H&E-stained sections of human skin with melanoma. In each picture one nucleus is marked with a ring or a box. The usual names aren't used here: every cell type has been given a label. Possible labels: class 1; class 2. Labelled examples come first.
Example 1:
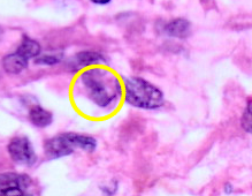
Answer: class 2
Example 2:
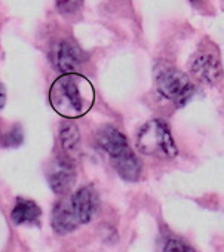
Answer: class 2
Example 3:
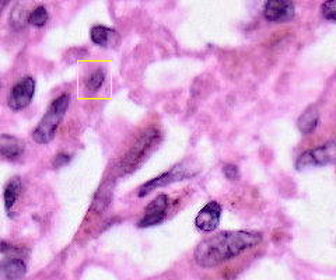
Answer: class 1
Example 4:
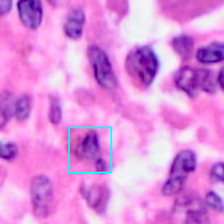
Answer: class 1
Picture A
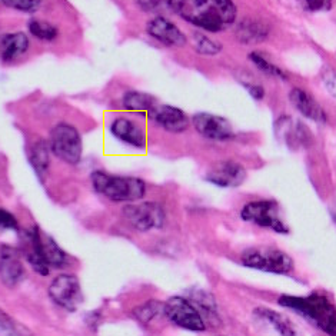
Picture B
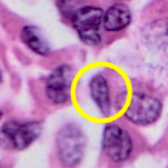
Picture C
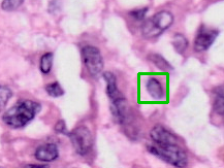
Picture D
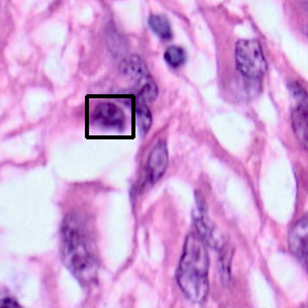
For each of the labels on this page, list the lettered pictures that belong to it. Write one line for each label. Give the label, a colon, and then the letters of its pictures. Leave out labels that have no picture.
class 1: C
class 2: A, B, D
